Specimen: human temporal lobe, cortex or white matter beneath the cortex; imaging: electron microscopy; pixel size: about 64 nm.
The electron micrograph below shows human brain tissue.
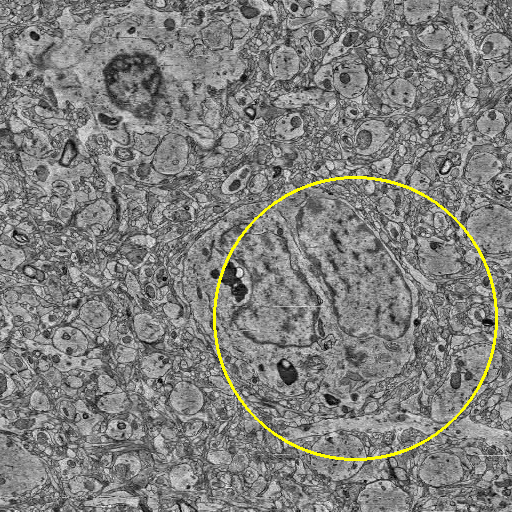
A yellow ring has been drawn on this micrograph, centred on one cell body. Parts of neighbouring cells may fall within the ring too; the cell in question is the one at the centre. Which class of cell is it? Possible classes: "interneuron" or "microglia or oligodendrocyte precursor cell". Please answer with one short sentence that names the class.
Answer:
In the centre of the ring sits a microglial cell or oligodendrocyte precursor cell.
